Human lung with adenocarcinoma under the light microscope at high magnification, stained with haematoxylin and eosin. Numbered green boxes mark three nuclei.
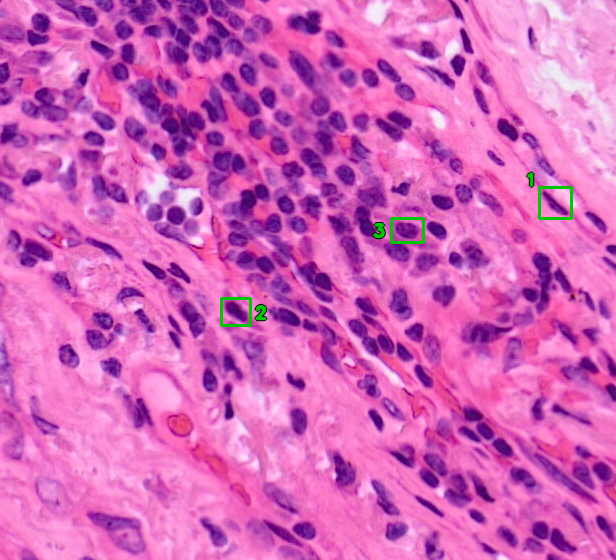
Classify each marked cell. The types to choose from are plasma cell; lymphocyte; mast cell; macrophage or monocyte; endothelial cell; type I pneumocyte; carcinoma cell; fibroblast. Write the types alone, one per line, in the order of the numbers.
endothelial cell
plasma cell
plasma cell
